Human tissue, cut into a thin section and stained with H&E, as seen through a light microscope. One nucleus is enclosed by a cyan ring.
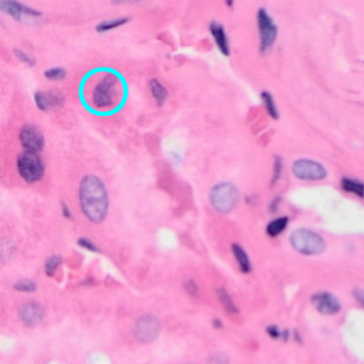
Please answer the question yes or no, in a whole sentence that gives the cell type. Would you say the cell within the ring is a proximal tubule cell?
Yes, the identification stands: the cell within the ring is a proximal tubule cell.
